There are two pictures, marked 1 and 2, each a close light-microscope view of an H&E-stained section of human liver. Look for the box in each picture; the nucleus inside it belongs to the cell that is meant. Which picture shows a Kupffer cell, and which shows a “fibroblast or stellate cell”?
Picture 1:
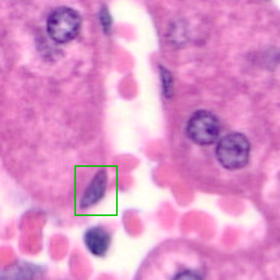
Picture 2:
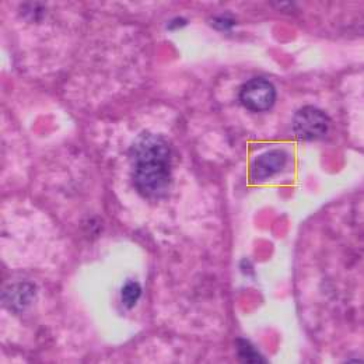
1: fibroblast or stellate cell
2: Kupffer cell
